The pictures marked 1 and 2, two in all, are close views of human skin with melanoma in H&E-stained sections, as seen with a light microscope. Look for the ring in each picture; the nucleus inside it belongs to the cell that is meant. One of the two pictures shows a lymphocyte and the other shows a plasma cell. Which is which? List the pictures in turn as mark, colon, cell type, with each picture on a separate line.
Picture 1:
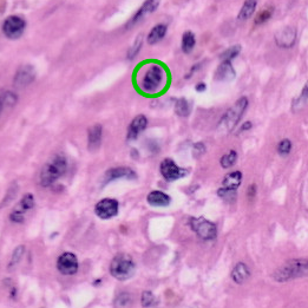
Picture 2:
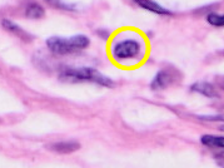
1: plasma cell
2: lymphocyte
